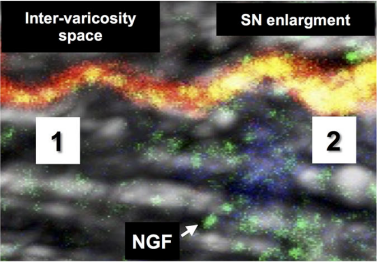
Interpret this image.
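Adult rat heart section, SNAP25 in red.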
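Small green dots are scattered over the muscle below the fibre, with a faint blue haze in part of the field. The underlying cardiomyocytes appear as pale grey, elongated bands without sharp cell borders at this magnification.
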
